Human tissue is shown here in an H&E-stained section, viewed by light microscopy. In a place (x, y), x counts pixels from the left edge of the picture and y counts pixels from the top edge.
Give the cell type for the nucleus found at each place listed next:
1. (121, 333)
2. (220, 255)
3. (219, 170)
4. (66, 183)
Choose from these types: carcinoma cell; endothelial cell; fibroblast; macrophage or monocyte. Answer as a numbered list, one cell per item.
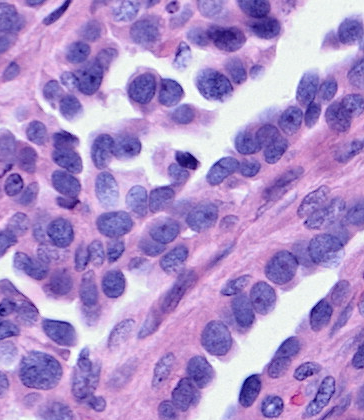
1. fibroblast
2. fibroblast
3. carcinoma cell
4. carcinoma cell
